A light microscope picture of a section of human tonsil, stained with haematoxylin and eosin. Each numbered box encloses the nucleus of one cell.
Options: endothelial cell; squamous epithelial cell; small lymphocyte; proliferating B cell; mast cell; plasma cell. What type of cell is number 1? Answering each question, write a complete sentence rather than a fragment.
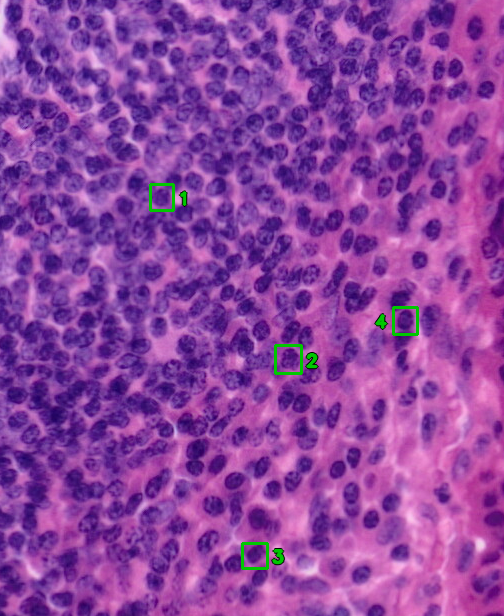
The cell identified by number 1 is a small lymphocyte.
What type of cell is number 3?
Nucleus 3 in this section belongs to a plasma cell.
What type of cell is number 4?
The cell pointed out by number 4 is a plasma cell.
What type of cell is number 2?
Denoted by the label 2 in the section is a plasma cell.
